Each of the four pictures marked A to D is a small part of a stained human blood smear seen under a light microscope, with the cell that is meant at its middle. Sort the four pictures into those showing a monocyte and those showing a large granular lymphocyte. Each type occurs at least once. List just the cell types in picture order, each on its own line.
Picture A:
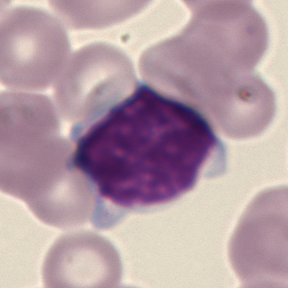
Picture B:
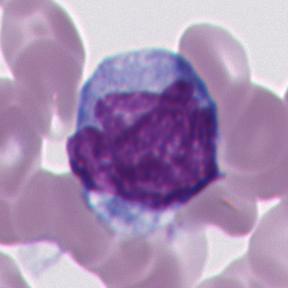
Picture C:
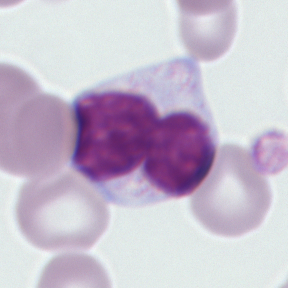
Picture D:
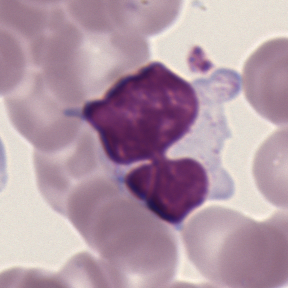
large granular lymphocyte
monocyte
large granular lymphocyte
large granular lymphocyte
